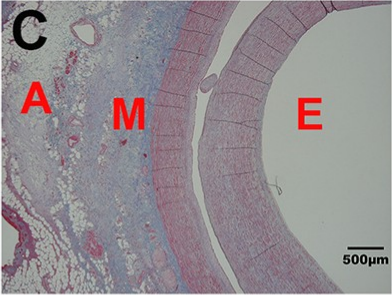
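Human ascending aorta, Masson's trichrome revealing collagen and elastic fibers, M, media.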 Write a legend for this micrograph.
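Next to the lumen lie curved bands of tightly layered wall stained pink-red with regular concentric lamellae. At the far left lies loose connective and fatty tissue with red-stained patches.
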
